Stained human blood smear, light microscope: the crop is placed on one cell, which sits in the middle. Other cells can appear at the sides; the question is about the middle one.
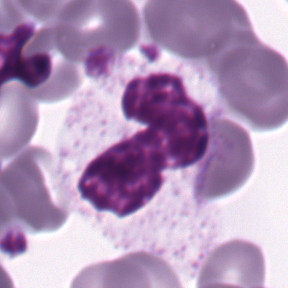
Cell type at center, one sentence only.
In the central position of this crop, the cell is a band neutrophil.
